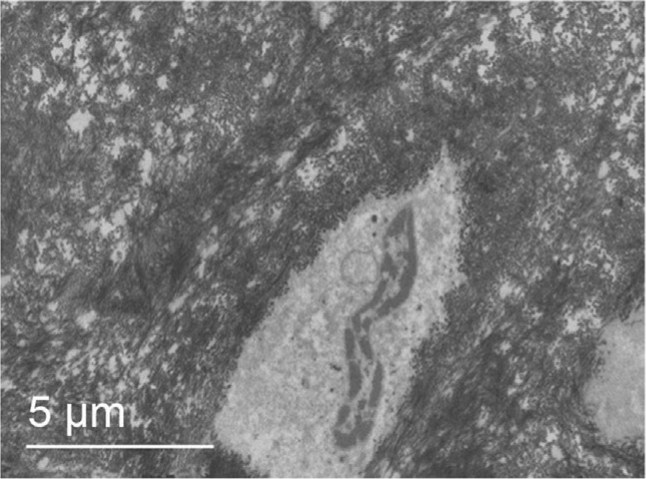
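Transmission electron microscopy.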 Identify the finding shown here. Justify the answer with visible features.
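A high number of vacuoles with low density. The matrix around the cell is scattered with many small pale, electron-lucent spaces. The dense fibrous matrix is interrupted by these light patches throughout the field.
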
